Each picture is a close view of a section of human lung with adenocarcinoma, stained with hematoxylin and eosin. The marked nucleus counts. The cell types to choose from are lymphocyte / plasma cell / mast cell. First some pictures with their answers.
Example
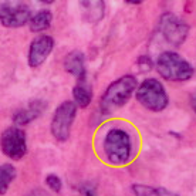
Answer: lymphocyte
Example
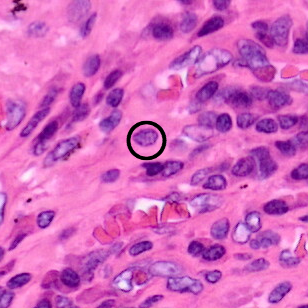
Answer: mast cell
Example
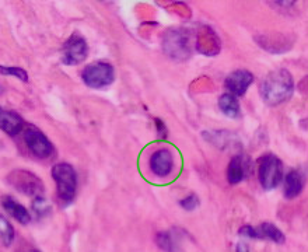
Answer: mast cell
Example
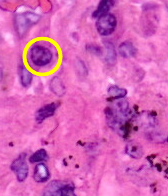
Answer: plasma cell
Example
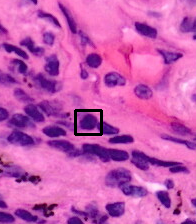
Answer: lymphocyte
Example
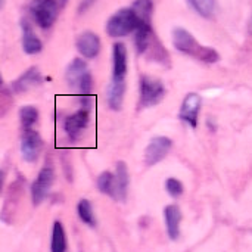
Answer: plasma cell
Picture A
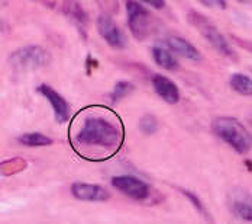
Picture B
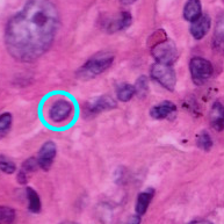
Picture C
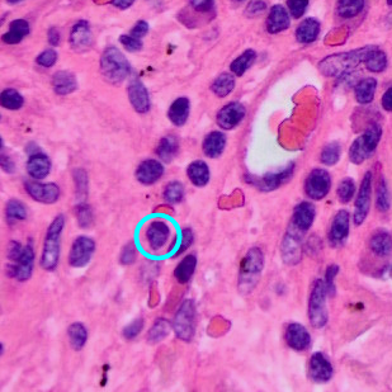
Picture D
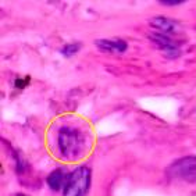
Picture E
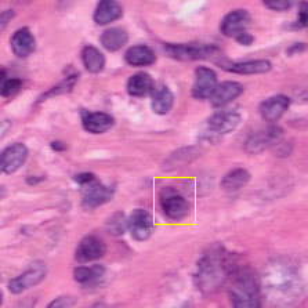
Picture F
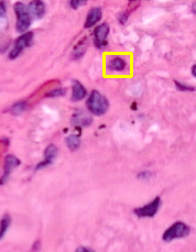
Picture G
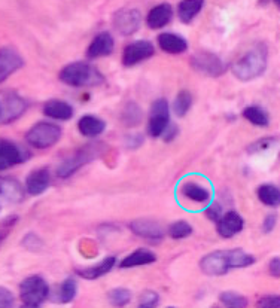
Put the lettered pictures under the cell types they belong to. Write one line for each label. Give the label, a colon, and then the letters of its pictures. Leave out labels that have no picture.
lymphocyte: C, G
plasma cell: A, E
mast cell: B, D, F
